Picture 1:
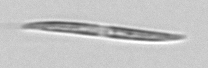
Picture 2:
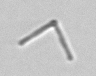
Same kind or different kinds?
Different: the first is Pseudo-nitzschia, the second Nanoneis.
